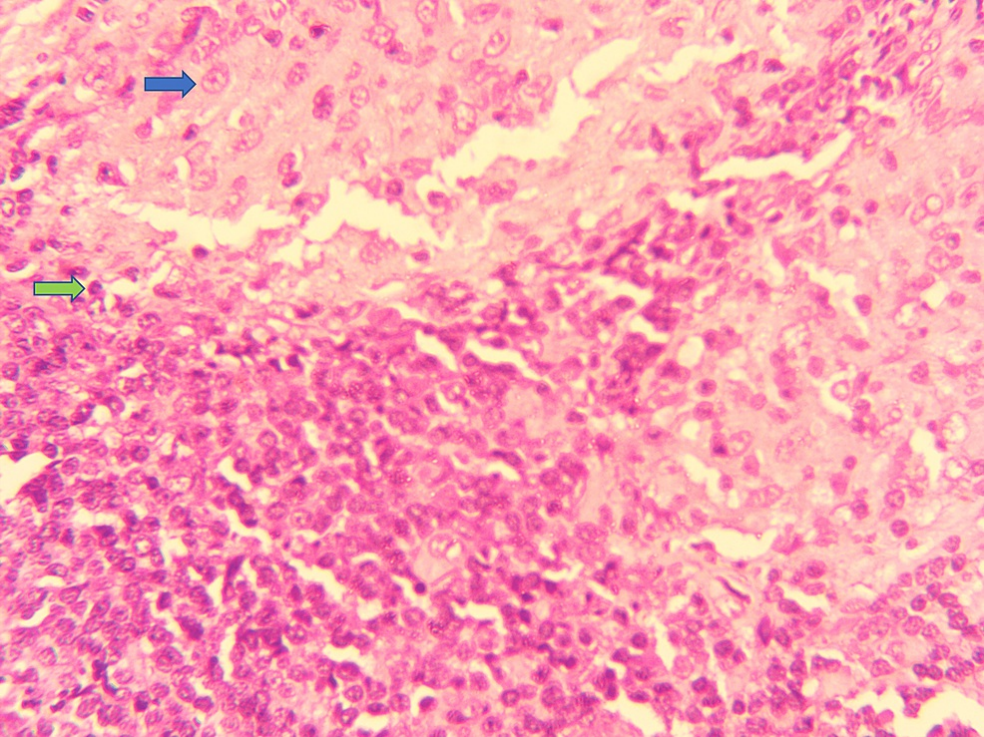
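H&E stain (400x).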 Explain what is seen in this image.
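A granuloma without central necrosis, made of epithelioid histiocytes bordered by lymphocytes. In the upper part lies a pale pink zone of cells with abundant, finely granular cytoplasm and indistinct borders; their nuclei are oval to elongated, pale and vesicular, some with small nucleoli. These cells are packed together in a cohesive sheet, split here and there by clear clefts. Toward the lower left and lower part the picture turns denser and darker, with crowded cells bearing round, darker nuclei and scant cytoplasm, forming a rim along the pale cluster. No structureless necrotic material is seen in the pale zone.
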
